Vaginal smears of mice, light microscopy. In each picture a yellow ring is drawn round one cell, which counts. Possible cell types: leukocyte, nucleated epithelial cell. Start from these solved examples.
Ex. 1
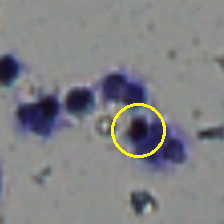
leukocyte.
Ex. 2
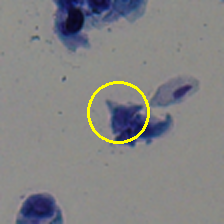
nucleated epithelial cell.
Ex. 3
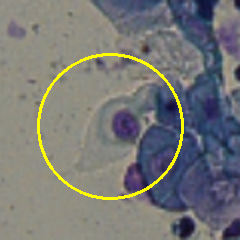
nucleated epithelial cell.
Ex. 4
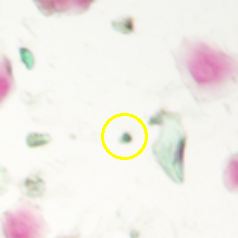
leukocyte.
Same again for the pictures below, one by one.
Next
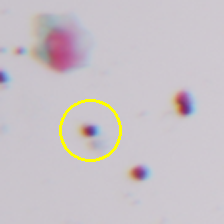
leukocyte.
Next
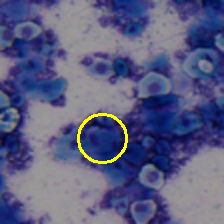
nucleated epithelial cell.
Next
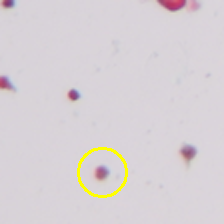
leukocyte.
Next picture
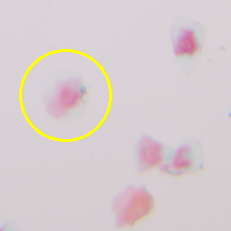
nucleated epithelial cell.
